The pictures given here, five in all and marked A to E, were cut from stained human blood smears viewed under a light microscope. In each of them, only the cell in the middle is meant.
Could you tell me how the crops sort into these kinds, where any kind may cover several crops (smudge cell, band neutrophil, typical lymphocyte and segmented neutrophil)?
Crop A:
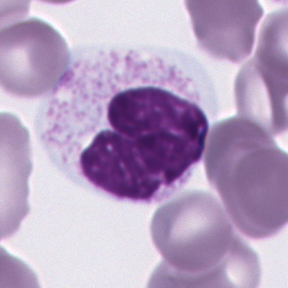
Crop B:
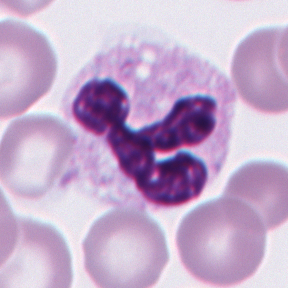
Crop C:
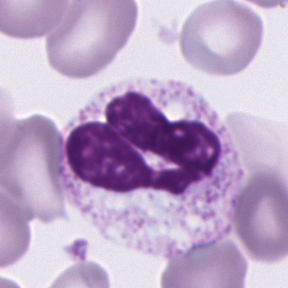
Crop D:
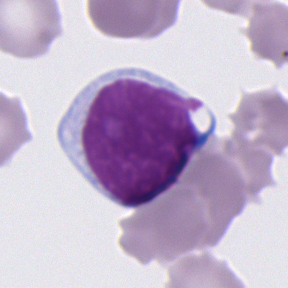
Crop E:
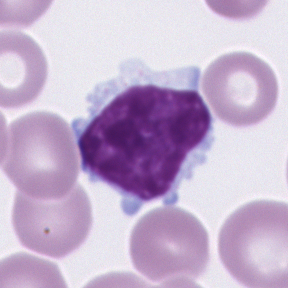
A: band neutrophil
B: segmented neutrophil
C: segmented neutrophil
D: typical lymphocyte
E: typical lymphocyte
